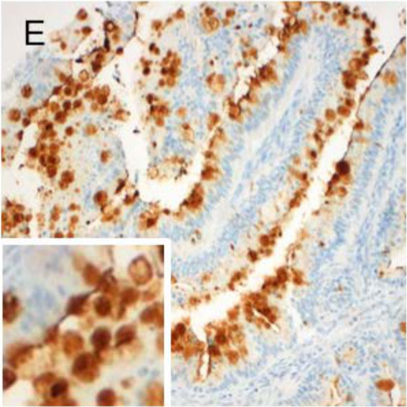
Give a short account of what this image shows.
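The lining cells have crowded, elongated blue nuclei stacked at their bases, and thin strands of stroma run between the glands. Scattered along the luminal surface are plump, rounded goblet-like cells whose cytoplasm is filled with brown stain. In the inset the rounded brown cells are seen close up, packed together with their stained cytoplasm.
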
